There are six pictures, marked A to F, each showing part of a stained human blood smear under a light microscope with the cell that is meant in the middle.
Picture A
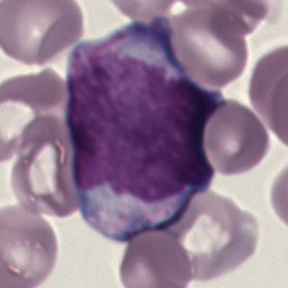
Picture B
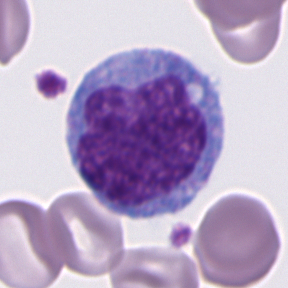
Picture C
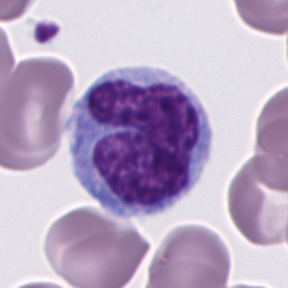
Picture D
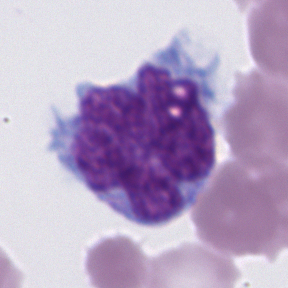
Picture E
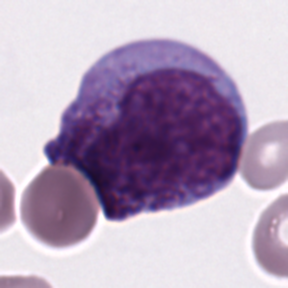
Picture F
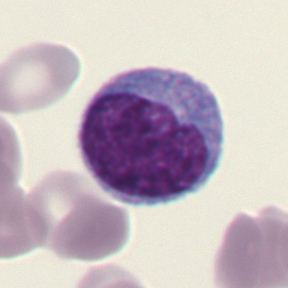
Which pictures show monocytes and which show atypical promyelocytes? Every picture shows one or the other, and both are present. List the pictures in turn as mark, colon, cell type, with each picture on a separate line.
A: atypical promyelocyte
B: monocyte
C: monocyte
D: monocyte
E: atypical promyelocyte
F: monocyte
